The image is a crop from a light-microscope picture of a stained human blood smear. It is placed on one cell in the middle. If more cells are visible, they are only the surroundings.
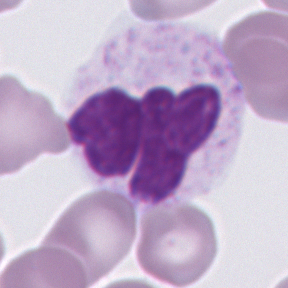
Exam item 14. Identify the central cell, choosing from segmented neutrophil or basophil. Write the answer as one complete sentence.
On this slide crop, the central cell is a segmented neutrophil.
